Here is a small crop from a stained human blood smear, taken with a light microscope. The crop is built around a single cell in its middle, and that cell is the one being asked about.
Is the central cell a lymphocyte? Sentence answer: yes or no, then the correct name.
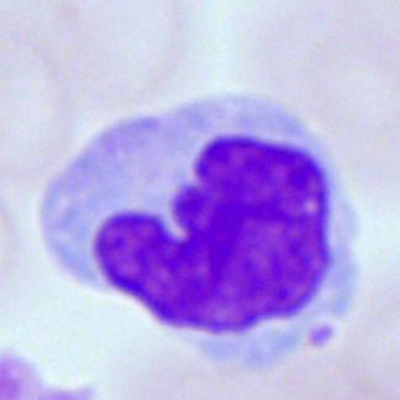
No, the middle cell is classified as a monocyte instead of a lymphocyte.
